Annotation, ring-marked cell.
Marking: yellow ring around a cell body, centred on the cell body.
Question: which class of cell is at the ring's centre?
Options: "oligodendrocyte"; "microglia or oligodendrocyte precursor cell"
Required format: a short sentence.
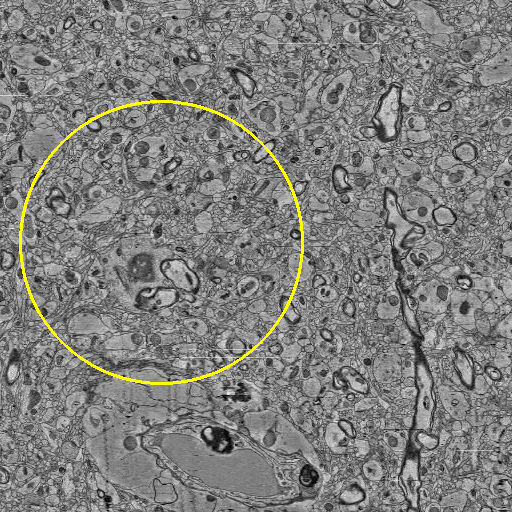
At the ring's centre is an oligodendrocyte.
